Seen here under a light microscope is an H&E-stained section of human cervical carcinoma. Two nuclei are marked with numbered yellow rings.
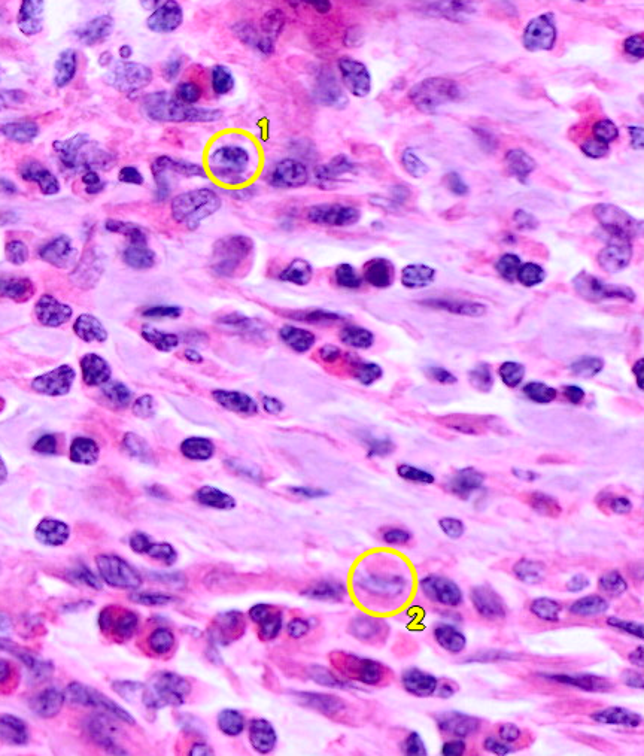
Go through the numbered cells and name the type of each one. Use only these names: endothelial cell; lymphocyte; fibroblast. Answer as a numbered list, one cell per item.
1. lymphocyte
2. endothelial cell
